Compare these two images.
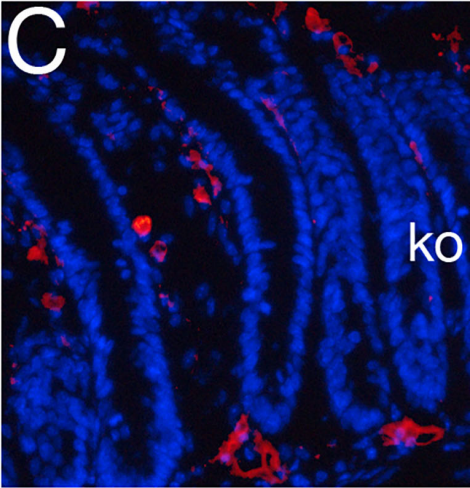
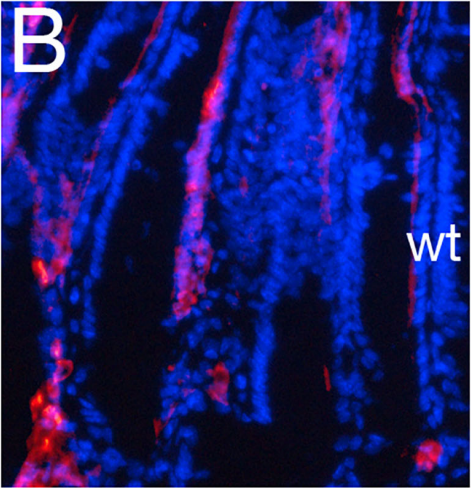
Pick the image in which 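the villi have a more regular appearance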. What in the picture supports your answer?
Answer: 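The first image. First image: elongated epithelial columns of blue nuclei run roughly parallel with even spacing and clear borders. Second image: the epithelial columns are less evenly arranged, with a broad irregular blue area in the middle and less distinct outlines.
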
